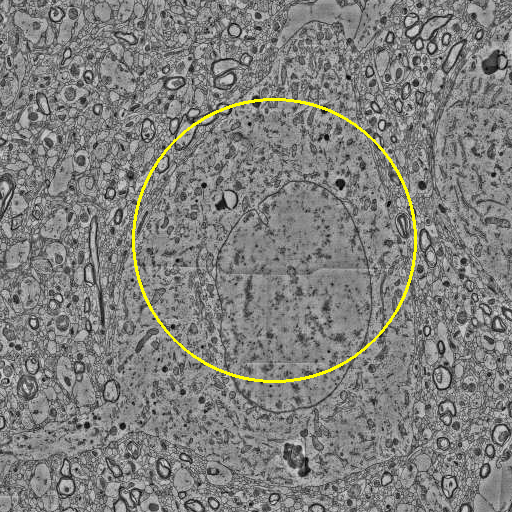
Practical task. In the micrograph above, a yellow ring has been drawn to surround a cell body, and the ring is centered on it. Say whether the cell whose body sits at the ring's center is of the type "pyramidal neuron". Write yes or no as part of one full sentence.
Yes, the cell at the center of the ring above is of the type asked about.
